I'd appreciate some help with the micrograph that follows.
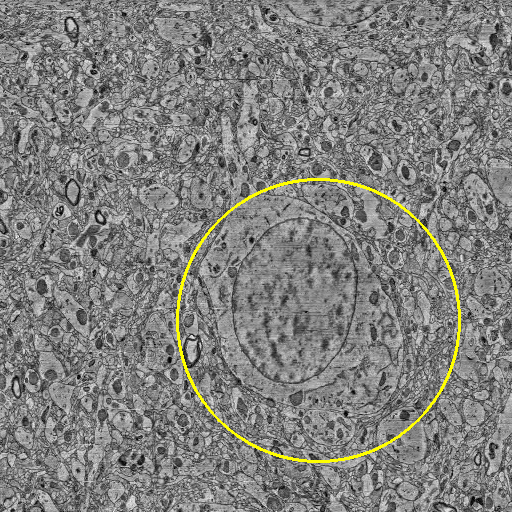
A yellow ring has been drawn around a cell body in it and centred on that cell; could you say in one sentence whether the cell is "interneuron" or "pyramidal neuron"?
It is a pyramidal neuron at the centre of the ring.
